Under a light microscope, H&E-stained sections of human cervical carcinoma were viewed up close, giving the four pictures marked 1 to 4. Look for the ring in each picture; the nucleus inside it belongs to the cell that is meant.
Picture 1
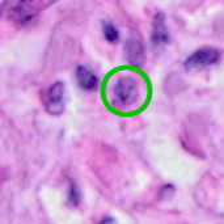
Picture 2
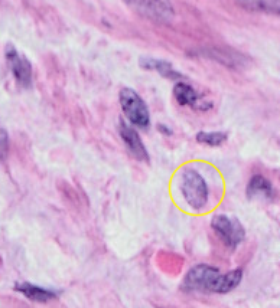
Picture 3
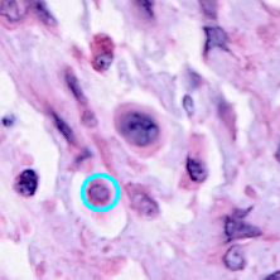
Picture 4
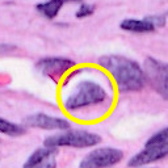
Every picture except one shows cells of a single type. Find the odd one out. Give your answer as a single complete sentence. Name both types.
Unlike the rest, which show “macrophages or monocytes”, picture 4 shows an endothelial cell.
